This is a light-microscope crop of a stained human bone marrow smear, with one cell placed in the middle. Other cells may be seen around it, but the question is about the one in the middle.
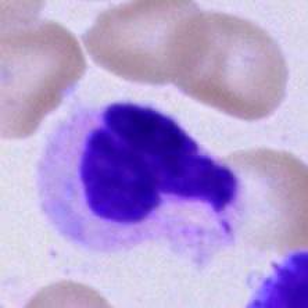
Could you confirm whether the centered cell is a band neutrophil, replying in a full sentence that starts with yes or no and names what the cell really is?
No, the cell at the centre is identified as a segmented neutrophil, not as a band neutrophil.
